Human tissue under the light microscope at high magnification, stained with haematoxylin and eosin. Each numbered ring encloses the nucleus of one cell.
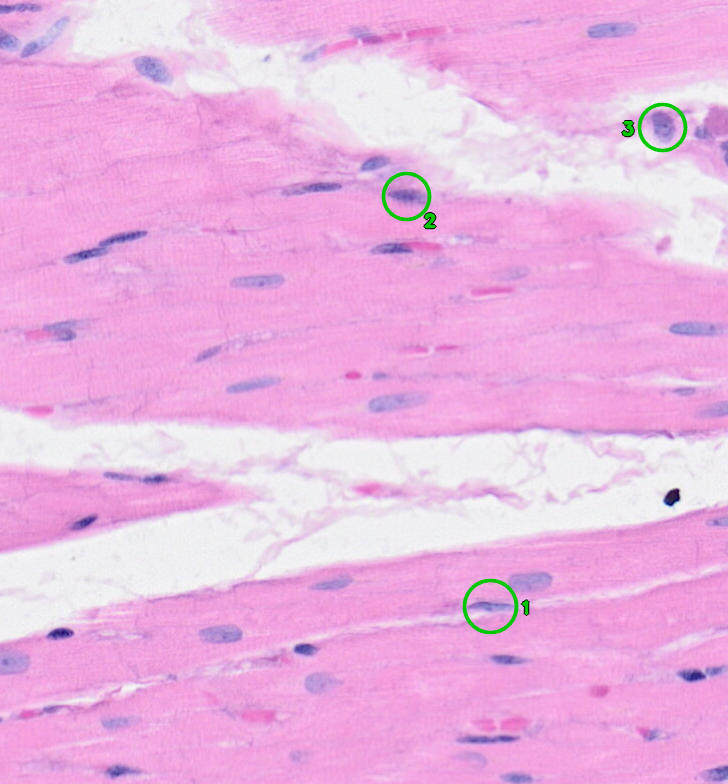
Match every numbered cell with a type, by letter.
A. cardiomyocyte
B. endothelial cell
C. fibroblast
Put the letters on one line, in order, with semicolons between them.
B; C; C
